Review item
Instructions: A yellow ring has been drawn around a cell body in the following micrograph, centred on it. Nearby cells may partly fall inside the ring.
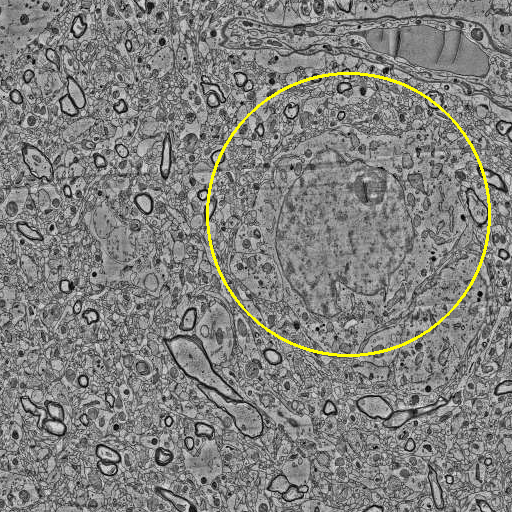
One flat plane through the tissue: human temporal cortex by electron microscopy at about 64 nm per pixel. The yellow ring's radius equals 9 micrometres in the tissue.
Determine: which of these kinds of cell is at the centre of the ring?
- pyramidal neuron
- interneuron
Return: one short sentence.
The cell body in the middle of the ring is that of an interneuron.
